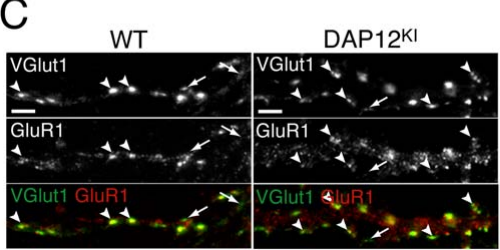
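These are short stretches of neurites from cultured neurons, each running roughly horizontally across the strip. In the upper row, the first staining appears as bright, discrete round dots strung along the neurite. In the middle row, the second staining forms smaller, fainter and more granular clusters along the same processes. In the overlay, the first staining is green and the second red, and many green dots have red clusters directly beside or on them, giving yellowish-orange spots where they overlap. A few green dots have no red partner next to them. White arrowheads and arrows drawn on the strips point to individual dots.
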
